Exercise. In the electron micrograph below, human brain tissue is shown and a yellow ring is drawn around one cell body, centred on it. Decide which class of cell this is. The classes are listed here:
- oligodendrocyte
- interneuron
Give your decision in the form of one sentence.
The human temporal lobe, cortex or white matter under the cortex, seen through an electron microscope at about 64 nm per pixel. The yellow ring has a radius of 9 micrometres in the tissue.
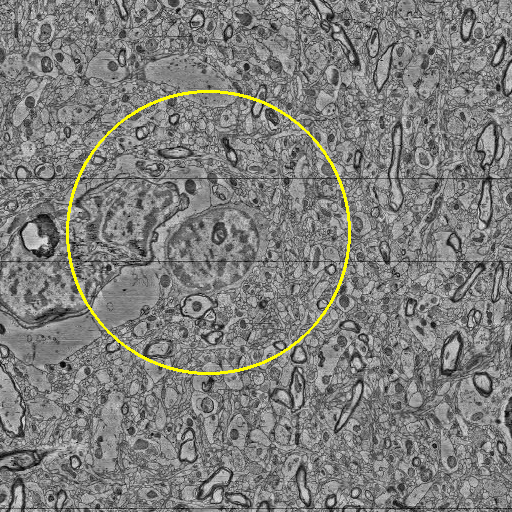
The cell body marked by the ring belongs to an oligodendrocyte.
